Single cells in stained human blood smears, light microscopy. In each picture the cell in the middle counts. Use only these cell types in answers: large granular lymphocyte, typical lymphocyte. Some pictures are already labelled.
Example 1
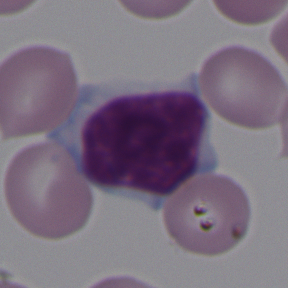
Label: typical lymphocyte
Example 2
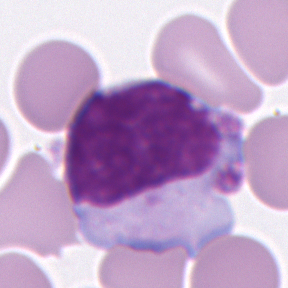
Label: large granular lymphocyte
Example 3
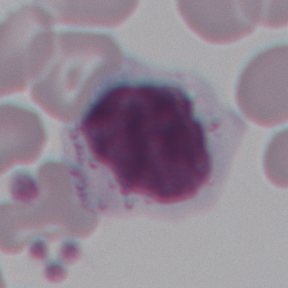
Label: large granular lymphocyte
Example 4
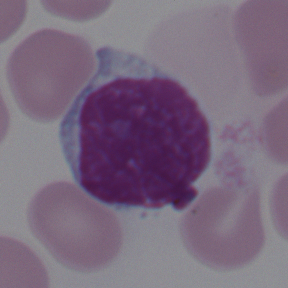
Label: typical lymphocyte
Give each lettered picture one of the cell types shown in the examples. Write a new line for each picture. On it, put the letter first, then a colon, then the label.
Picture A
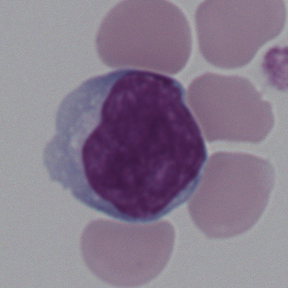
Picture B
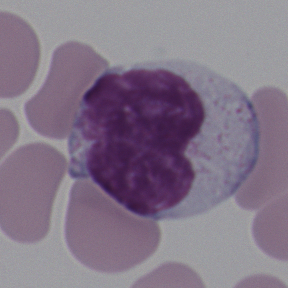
A: typical lymphocyte
B: large granular lymphocyte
